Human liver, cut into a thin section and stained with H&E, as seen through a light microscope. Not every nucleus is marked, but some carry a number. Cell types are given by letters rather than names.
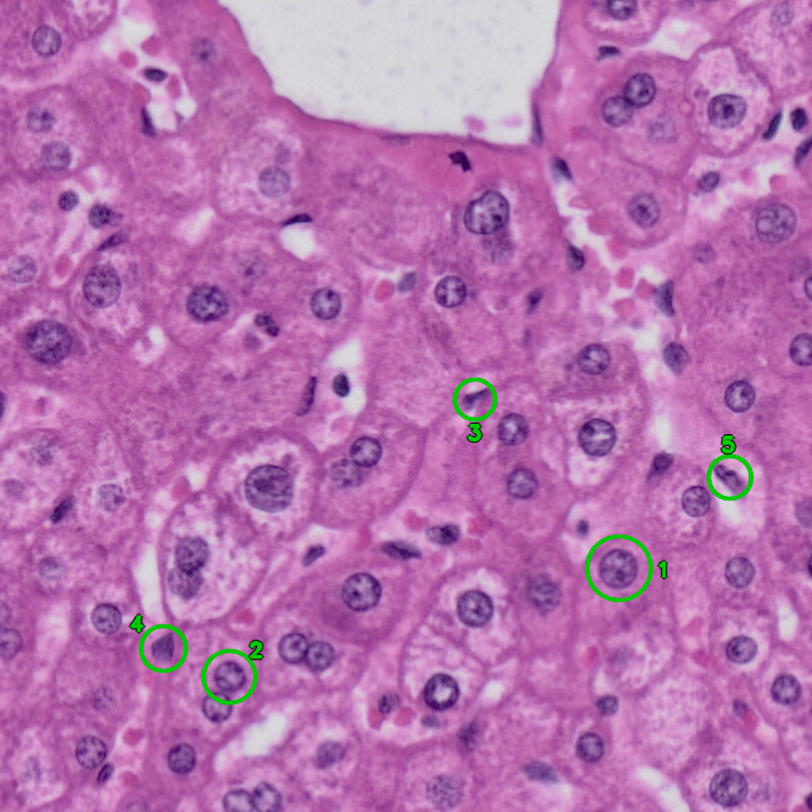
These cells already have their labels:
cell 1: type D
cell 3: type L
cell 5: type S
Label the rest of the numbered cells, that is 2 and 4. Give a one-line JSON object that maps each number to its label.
{"2": "type D", "4": "type L"}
